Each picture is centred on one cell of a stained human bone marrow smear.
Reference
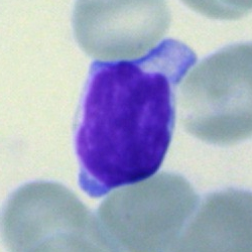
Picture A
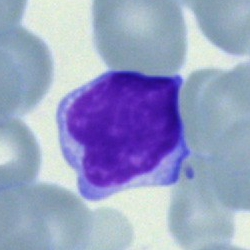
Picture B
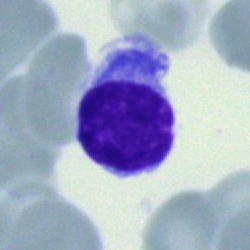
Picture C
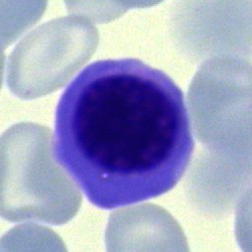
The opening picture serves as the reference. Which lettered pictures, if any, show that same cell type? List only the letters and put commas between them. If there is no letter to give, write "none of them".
A, B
